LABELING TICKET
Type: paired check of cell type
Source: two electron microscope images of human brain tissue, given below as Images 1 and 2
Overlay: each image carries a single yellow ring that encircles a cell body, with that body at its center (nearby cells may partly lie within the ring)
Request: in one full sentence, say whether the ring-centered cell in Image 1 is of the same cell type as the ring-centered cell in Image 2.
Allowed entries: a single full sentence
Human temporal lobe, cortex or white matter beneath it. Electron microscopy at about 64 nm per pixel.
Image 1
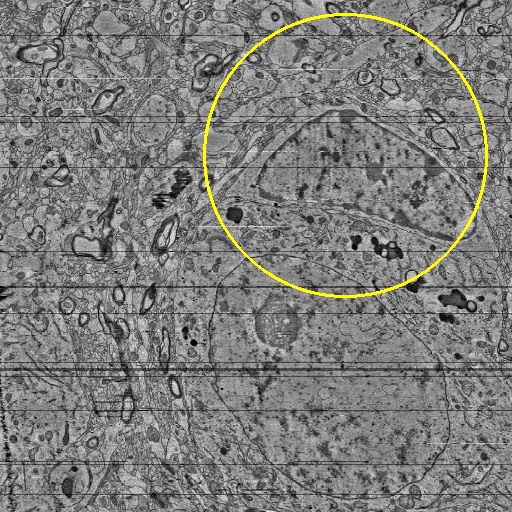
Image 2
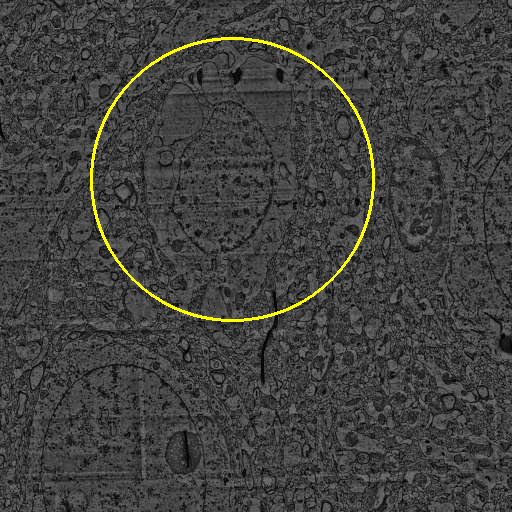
No, the cells centered in the rings of Image 1 and Image 2 are of two types.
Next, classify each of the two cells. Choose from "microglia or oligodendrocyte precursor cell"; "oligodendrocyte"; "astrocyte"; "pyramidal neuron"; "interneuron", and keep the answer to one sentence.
In the first picture it is a microglial cell or oligodendrocyte precursor cell; in the second it is an astrocyte.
